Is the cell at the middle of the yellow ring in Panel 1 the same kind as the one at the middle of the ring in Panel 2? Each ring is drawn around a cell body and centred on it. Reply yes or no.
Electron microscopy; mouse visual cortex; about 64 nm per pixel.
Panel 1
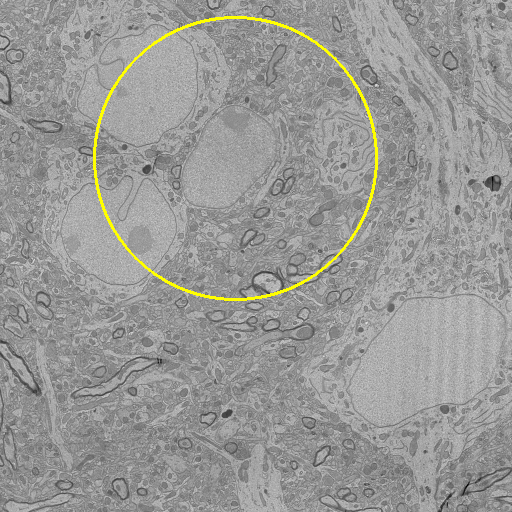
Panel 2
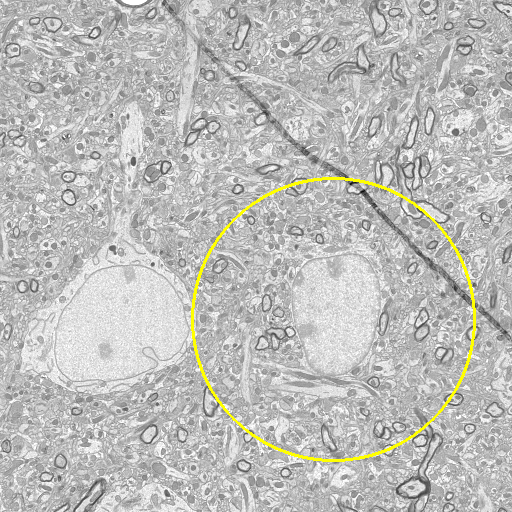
yes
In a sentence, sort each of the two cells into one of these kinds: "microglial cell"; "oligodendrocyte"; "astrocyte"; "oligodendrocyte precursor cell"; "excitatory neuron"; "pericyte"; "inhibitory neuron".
Both rings mark an astrocyte, one in each picture.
